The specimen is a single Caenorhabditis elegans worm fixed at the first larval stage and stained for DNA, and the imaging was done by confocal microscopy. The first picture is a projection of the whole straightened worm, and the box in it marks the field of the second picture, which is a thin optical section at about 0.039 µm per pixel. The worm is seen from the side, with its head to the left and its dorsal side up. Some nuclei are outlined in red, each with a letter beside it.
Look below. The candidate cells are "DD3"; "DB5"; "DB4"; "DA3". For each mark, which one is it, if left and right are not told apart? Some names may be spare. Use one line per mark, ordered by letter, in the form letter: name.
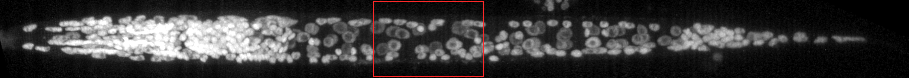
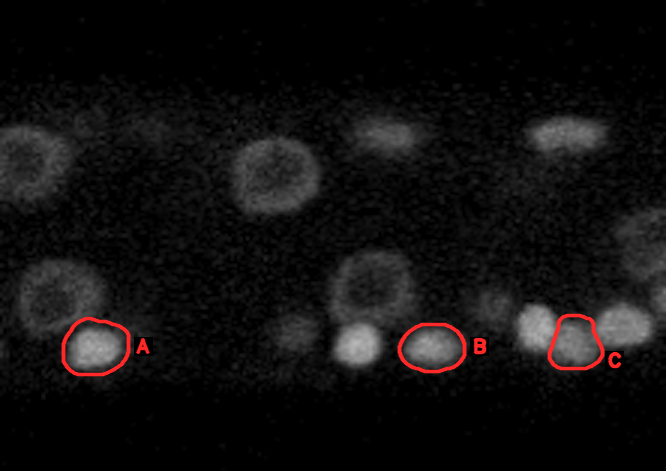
A: DB4
B: DD3
C: DB5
